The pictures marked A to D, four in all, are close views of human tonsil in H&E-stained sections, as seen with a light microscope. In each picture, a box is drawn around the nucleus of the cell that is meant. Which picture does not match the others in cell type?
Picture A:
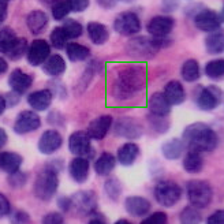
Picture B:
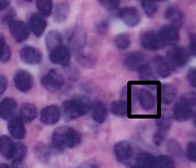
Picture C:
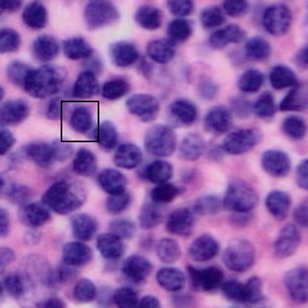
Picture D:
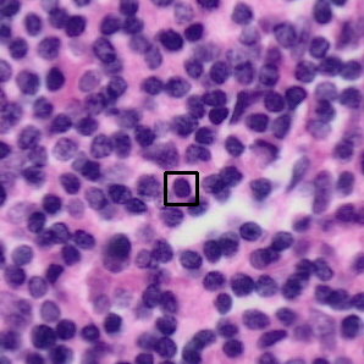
A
